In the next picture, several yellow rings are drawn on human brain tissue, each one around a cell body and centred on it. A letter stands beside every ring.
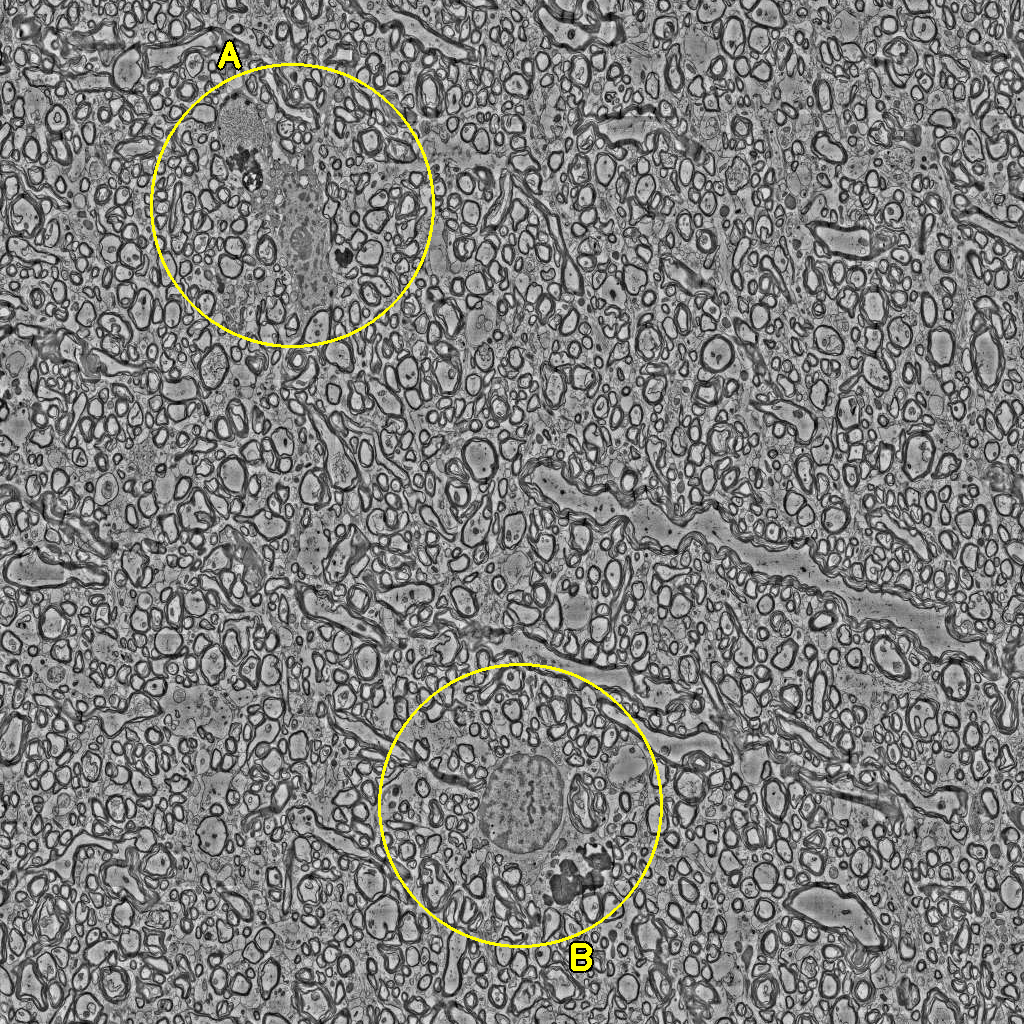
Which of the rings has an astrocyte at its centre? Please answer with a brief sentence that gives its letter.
Ring A has it at its centre.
